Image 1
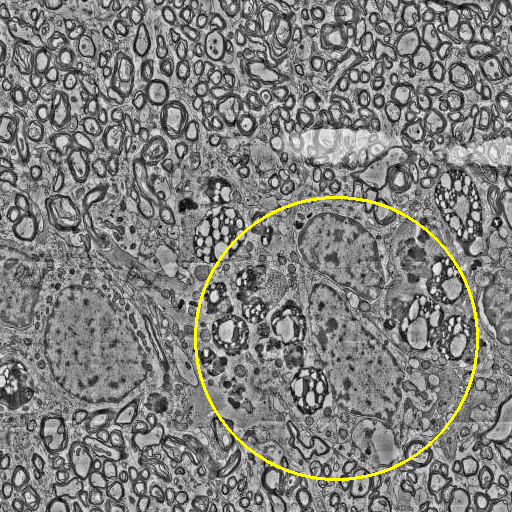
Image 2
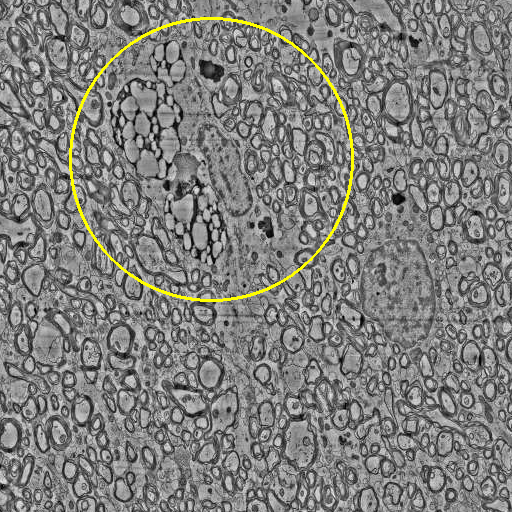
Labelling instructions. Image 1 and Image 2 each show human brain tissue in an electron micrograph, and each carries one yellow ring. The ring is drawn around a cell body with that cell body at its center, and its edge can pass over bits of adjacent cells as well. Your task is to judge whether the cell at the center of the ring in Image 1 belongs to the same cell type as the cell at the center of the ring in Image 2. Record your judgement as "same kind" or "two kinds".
same kind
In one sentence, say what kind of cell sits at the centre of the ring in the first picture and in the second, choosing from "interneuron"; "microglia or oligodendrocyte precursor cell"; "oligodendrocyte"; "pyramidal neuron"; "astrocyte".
Both cells are the same kind, each one being an astrocyte.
